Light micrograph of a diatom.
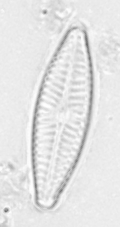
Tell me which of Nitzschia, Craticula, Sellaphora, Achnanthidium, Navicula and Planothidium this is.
The picture shows Navicula.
